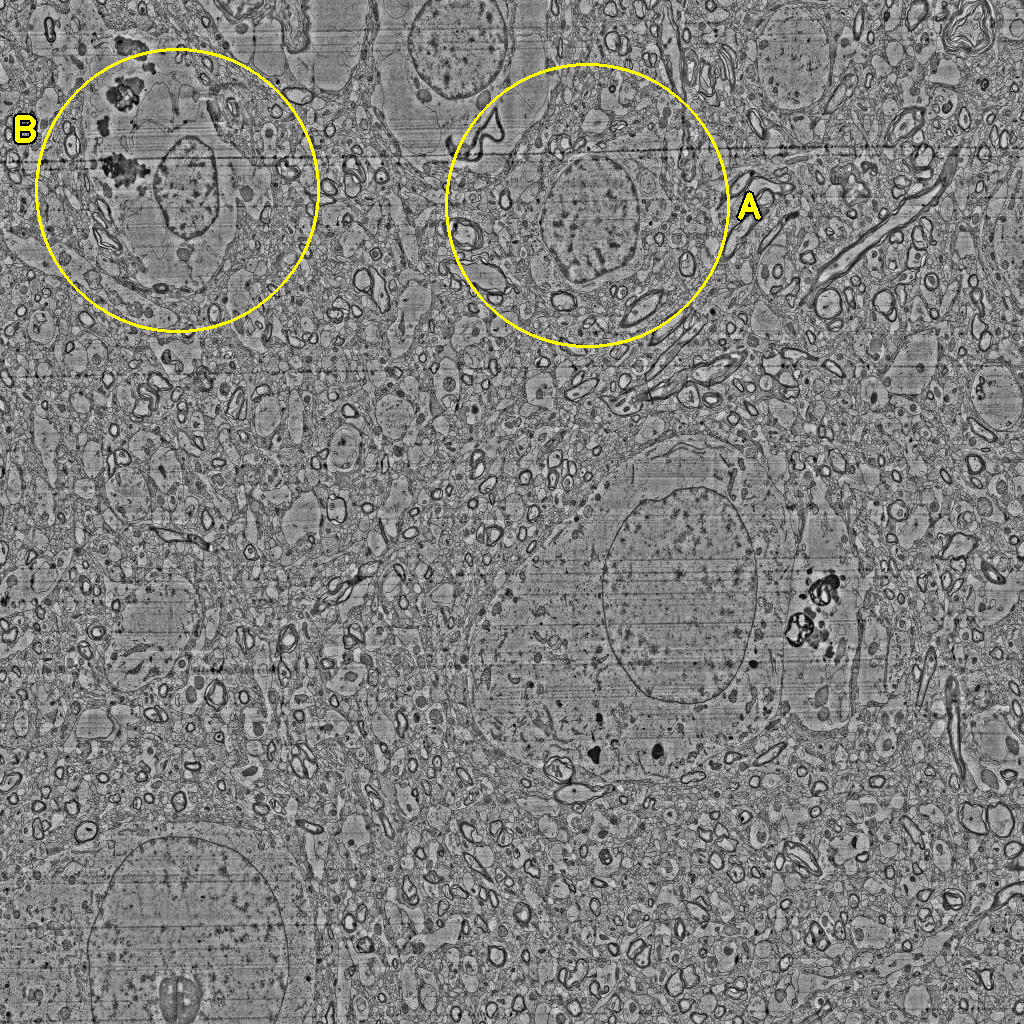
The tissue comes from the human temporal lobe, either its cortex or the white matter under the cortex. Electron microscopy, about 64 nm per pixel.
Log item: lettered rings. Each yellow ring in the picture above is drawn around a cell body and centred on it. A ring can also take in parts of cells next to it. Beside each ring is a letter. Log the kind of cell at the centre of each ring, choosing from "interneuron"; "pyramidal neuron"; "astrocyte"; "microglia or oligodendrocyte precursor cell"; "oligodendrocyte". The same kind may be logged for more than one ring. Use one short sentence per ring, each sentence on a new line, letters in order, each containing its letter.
Within ring A, the centre is taken by a microglial cell or oligodendrocyte precursor cell.
Within ring B, the centre is taken by an astrocyte.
